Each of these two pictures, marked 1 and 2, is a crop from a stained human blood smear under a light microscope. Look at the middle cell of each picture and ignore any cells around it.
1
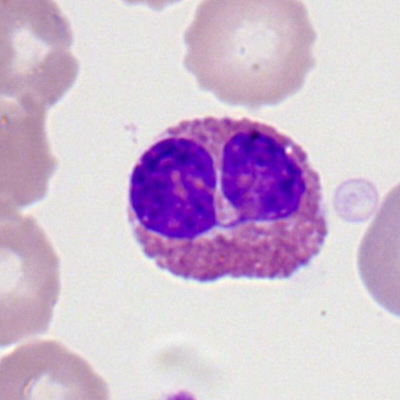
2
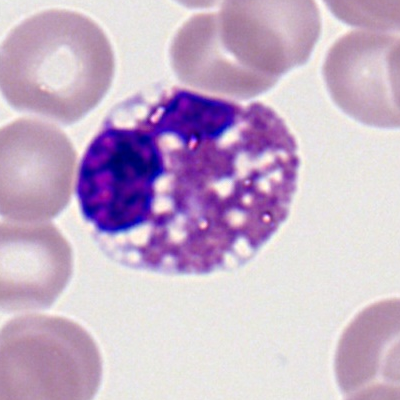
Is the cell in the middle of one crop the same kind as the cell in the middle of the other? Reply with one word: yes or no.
yes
